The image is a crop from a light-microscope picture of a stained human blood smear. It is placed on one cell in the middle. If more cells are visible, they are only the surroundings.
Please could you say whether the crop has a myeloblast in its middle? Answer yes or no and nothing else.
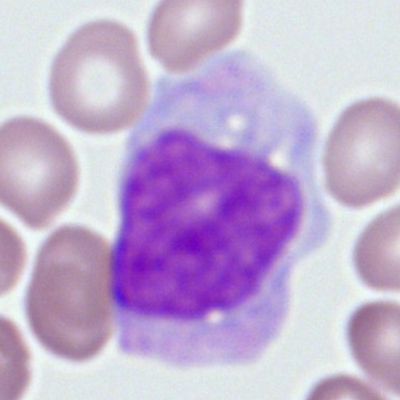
no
